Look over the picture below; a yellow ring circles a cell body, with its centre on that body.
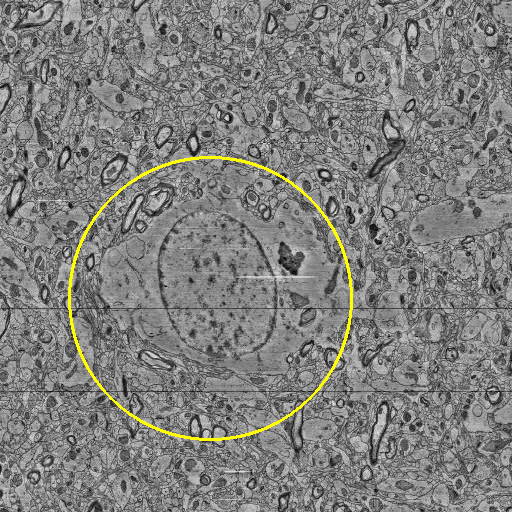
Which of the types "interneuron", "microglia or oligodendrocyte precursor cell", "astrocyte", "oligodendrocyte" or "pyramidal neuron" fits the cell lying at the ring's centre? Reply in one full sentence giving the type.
The picture shows an astrocyte at the centre of the yellow ring.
